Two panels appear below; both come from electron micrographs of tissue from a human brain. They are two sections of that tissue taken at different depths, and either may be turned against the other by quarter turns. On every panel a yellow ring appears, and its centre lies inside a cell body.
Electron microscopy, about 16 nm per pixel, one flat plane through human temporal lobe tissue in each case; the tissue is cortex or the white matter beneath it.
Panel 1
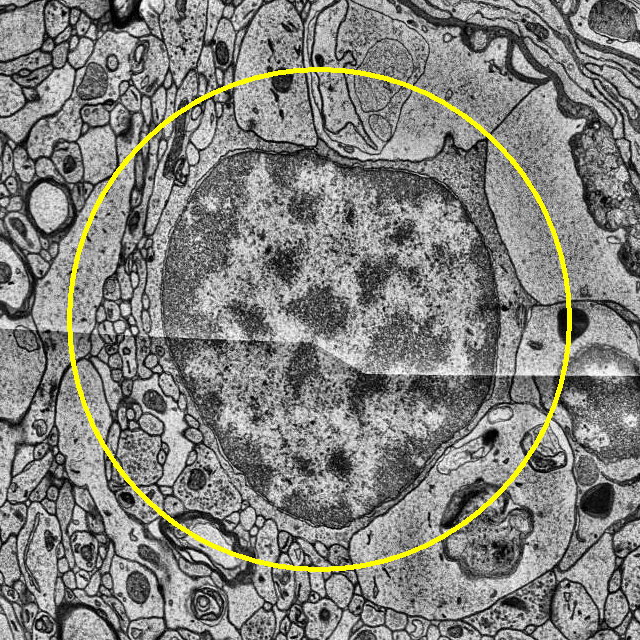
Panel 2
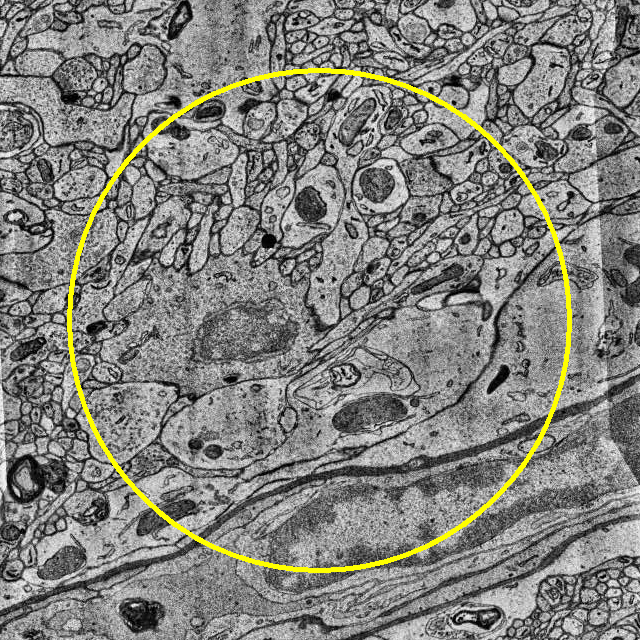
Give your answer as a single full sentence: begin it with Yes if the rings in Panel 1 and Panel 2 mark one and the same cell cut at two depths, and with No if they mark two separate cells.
No, a single cell is not marked twice here; two cells are marked.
